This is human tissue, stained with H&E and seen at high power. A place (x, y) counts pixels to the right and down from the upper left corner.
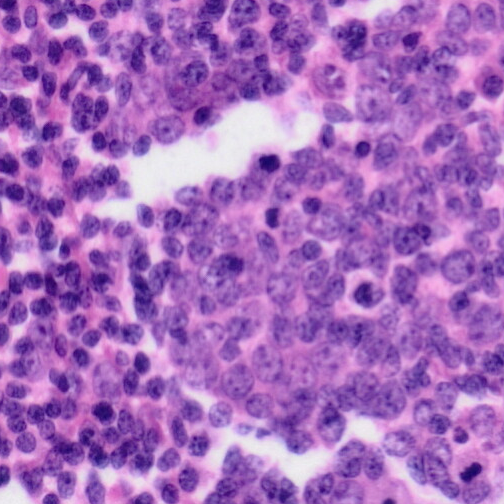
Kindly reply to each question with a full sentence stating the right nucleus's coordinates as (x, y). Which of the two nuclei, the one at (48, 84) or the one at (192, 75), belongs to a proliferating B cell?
Heads up, the nucleus at (192, 75) is the one that belongs to a proliferating B cell.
